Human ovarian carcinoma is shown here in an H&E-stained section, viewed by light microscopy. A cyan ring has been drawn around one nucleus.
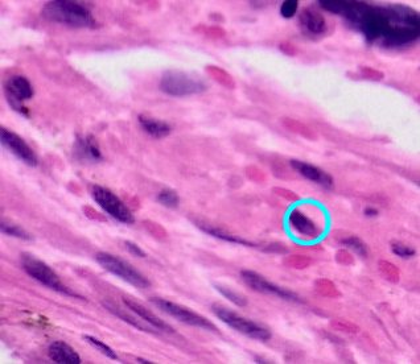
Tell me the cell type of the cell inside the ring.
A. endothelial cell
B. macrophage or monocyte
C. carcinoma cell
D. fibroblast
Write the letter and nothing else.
D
